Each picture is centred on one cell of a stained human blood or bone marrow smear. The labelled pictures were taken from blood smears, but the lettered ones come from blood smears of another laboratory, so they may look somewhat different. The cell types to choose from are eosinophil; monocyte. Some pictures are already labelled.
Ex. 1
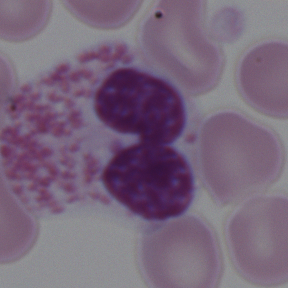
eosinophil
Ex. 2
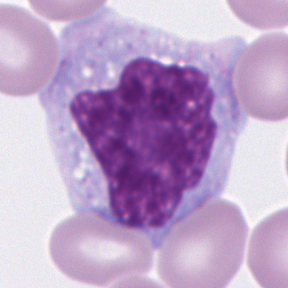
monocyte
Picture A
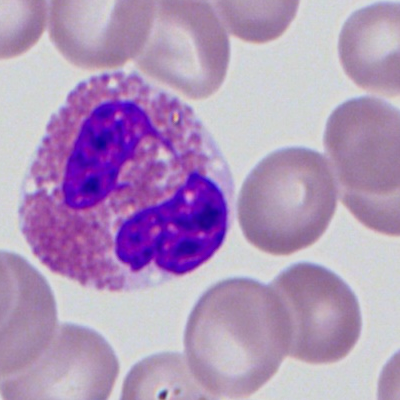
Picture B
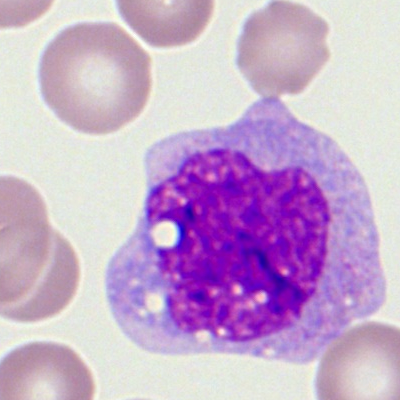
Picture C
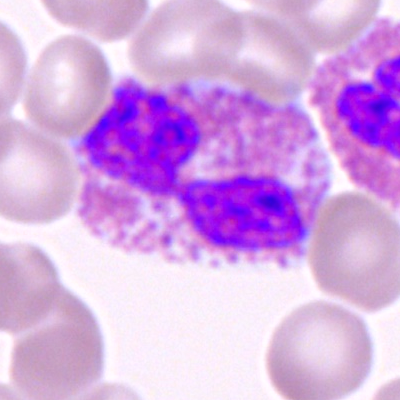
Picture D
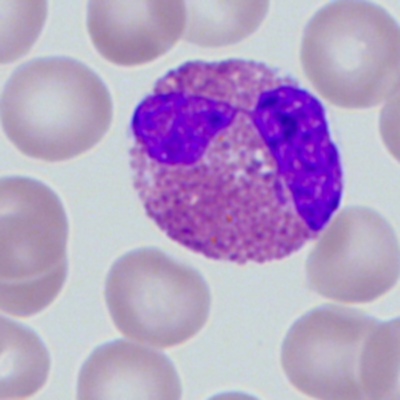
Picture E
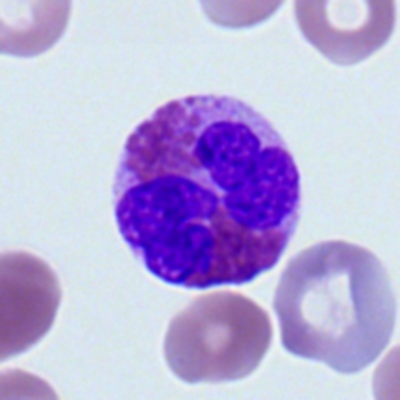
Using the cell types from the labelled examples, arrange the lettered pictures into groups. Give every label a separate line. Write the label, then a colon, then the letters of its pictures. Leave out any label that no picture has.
eosinophil: A, C, D, E
monocyte: B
